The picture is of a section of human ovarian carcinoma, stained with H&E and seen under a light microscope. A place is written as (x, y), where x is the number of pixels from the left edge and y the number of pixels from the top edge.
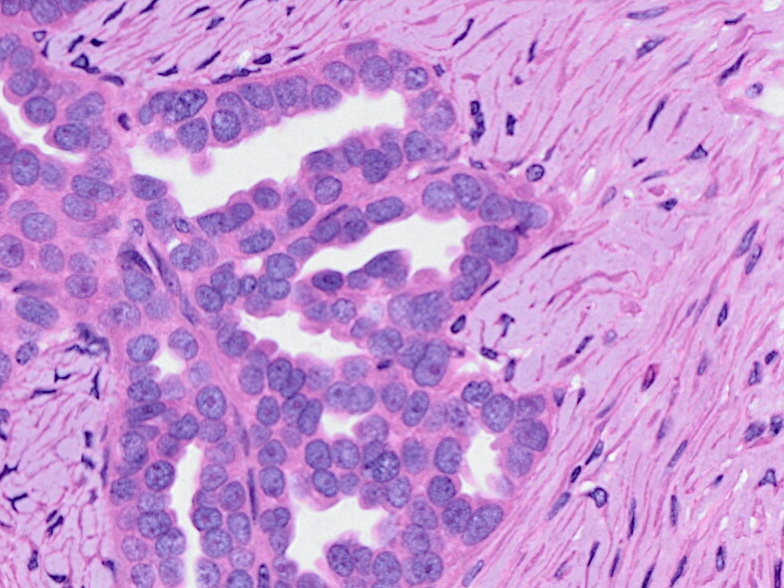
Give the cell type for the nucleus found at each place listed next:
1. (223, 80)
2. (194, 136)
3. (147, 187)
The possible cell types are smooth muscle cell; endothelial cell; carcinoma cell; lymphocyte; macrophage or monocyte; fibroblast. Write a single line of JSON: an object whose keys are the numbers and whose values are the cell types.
{"1": "fibroblast", "2": "carcinoma cell", "3": "carcinoma cell"}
